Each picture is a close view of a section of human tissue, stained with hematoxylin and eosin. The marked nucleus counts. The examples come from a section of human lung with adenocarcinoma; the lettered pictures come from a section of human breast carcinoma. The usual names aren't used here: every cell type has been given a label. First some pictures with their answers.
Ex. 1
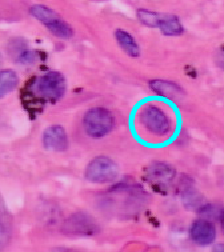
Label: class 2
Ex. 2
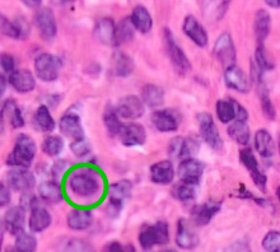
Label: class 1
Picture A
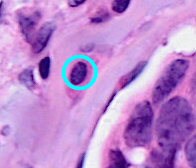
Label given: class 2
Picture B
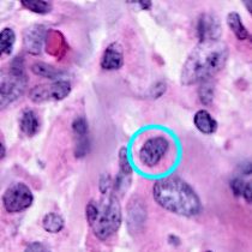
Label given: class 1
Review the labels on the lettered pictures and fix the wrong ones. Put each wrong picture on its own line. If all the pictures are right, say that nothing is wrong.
B is labelled class 1; correct label: class 2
